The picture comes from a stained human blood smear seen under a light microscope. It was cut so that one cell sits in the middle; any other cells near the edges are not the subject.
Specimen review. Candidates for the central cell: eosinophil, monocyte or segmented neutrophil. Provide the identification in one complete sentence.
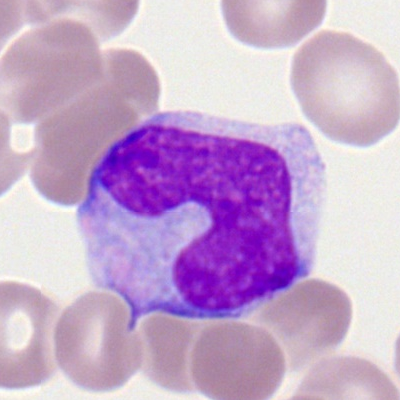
The cell at the centre of the field is a monocyte.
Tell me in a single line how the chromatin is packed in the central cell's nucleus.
No coarse chromatin clumps are present; the pattern is fine.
